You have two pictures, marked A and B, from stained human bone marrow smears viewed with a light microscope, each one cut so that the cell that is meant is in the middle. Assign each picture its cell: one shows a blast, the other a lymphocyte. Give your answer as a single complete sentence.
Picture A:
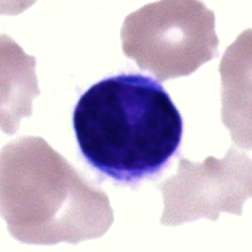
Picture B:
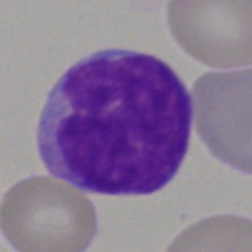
In picture A the cell is a lymphocyte; in picture B, a blast.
